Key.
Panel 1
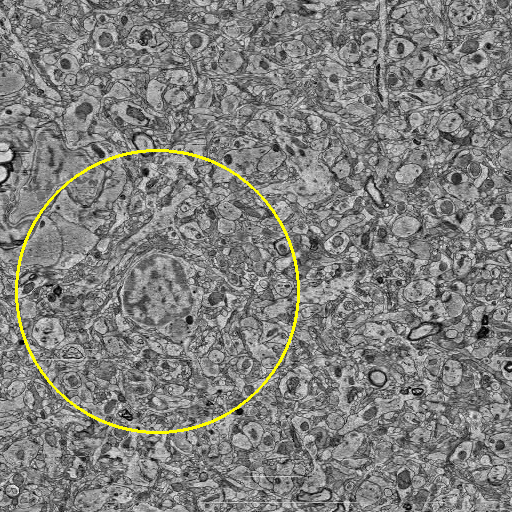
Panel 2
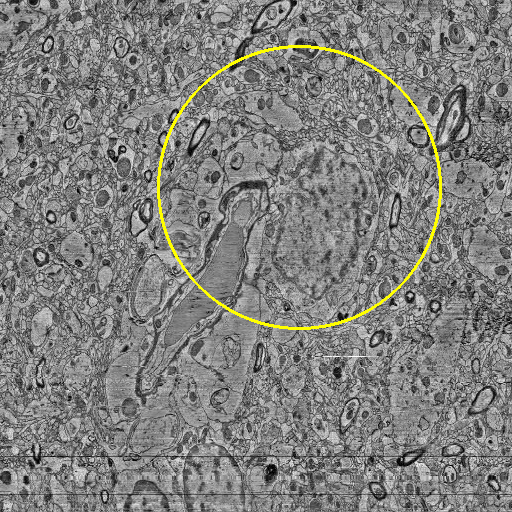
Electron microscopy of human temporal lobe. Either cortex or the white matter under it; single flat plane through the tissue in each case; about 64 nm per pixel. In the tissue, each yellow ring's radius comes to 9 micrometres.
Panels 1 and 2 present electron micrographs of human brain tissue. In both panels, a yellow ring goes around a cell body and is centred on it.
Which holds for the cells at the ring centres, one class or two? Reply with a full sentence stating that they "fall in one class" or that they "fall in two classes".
Taken together, the ring-centre cells of the two panels fall in two classes.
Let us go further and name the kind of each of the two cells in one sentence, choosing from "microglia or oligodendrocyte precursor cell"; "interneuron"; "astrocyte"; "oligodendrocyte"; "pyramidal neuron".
The ring of the first picture is on a microglial cell or oligodendrocyte precursor cell, the ring of the second on an interneuron.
